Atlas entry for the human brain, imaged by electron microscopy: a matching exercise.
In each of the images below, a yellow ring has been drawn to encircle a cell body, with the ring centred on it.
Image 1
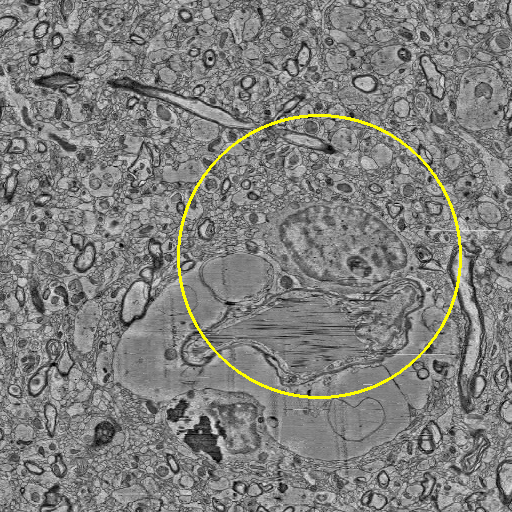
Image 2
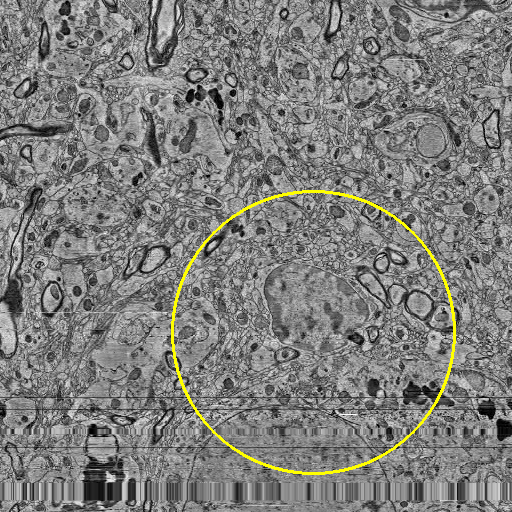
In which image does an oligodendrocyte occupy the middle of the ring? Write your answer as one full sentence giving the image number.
In image 1, the ring is centred on the cell in question.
